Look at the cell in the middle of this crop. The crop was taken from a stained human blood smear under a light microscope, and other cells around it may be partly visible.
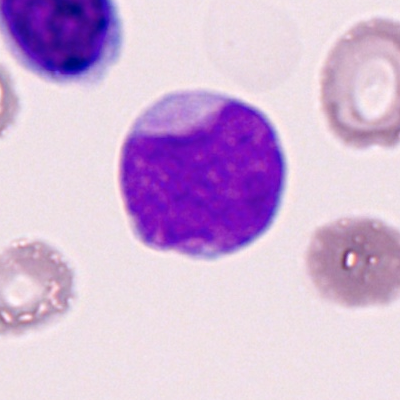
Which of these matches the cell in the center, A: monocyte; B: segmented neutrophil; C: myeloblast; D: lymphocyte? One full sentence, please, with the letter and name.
Option C is correct, naming the cell in the middle as a myeloblast.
